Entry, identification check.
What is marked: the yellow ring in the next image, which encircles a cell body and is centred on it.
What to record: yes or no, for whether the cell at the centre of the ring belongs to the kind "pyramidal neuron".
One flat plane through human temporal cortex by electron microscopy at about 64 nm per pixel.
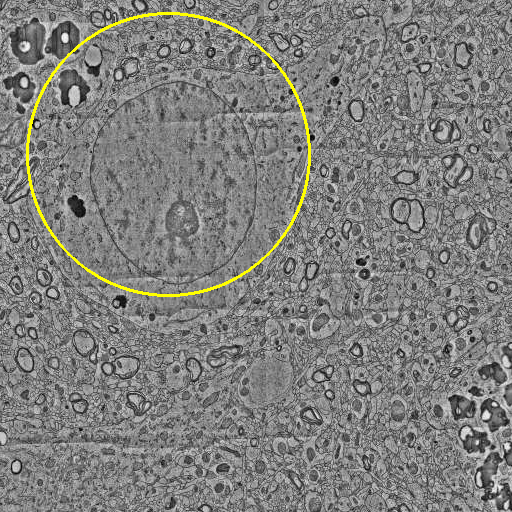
Yes, it belongs to that kind.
